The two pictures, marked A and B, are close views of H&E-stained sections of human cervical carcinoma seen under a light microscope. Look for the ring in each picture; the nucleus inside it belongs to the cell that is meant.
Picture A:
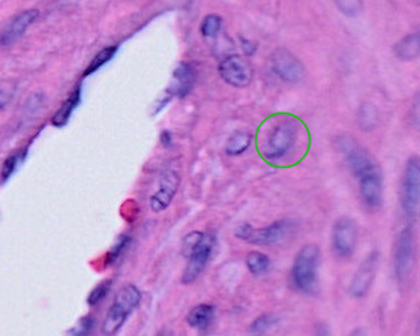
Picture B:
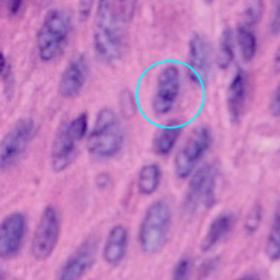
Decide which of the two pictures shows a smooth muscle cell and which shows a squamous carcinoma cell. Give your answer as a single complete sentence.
The cell in picture A is a smooth muscle cell, and the one in picture B is a squamous carcinoma cell.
